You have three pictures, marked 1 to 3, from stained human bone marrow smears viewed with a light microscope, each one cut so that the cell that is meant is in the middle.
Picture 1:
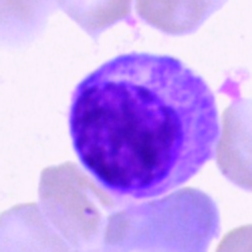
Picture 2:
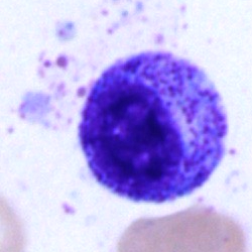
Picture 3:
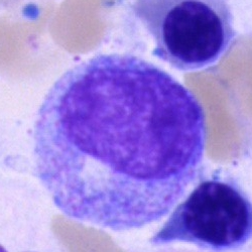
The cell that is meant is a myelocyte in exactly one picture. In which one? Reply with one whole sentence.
The picture with the myelocyte is 1.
